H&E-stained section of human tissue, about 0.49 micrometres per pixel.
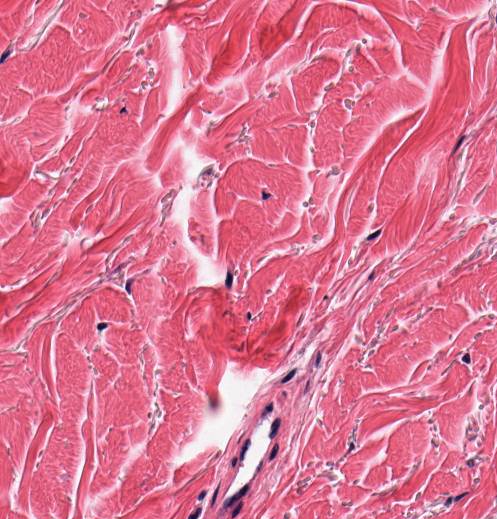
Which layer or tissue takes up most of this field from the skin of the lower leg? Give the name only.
dermis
